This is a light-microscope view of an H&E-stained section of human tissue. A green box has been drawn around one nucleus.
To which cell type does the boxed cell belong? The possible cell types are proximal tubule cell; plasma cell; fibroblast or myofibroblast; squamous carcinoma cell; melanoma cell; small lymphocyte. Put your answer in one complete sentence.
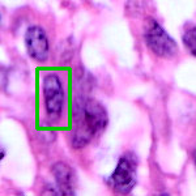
The boxed cell appears to be a melanoma cell.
